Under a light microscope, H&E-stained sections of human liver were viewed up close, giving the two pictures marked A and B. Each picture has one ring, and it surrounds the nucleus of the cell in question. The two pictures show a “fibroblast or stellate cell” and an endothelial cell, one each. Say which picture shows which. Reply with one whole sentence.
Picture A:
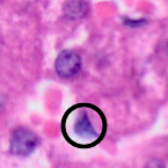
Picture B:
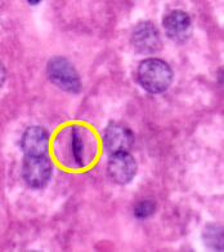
The cell in picture A is an endothelial cell, and the one in picture B is a “fibroblast or stellate cell”.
